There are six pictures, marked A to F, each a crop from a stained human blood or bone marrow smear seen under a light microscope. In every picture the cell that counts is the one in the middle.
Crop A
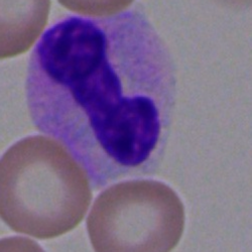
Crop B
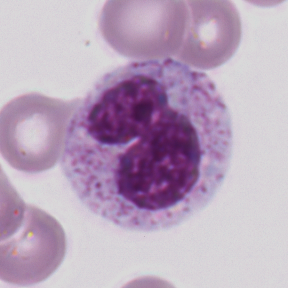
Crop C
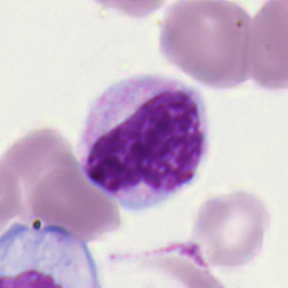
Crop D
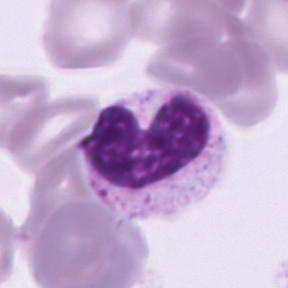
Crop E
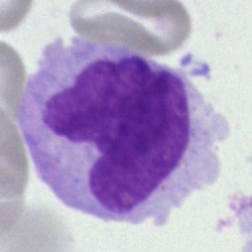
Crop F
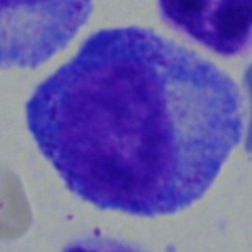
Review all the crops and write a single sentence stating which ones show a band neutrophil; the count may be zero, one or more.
It is crops A, B, C and D that show band neutrophils.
